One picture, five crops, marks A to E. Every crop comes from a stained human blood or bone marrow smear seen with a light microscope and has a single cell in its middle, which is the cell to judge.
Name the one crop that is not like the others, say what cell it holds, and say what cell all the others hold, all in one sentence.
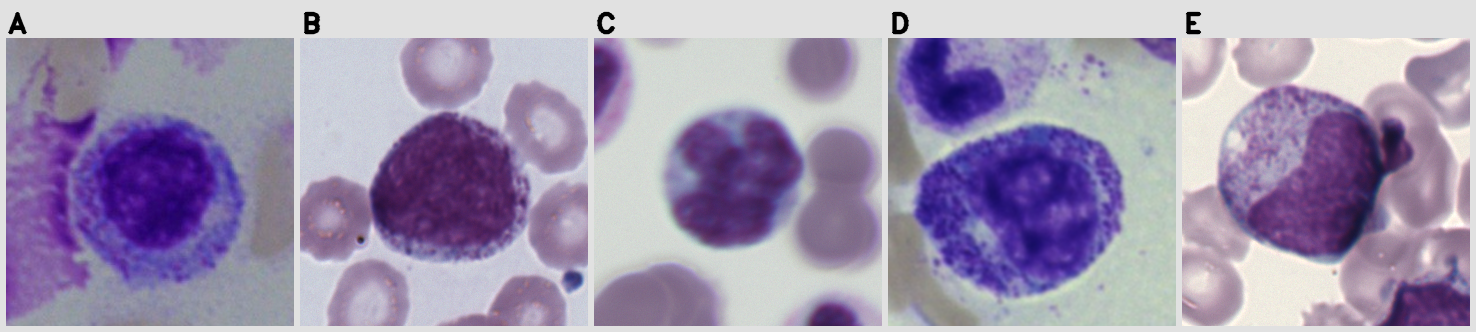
Crop C is the only one that is a monocyte; all the others show myelocytes.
